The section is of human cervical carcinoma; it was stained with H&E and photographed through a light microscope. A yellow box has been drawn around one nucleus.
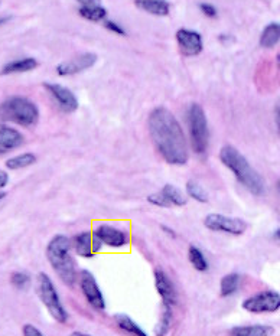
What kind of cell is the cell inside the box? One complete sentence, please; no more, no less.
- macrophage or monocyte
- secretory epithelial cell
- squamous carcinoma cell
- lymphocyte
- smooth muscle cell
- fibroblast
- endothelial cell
In short, the cell inside the box on this section is an endothelial cell.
